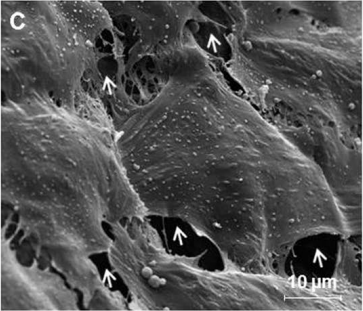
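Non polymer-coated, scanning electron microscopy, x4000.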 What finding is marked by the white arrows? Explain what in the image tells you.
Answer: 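The arrows point into dark holes in the surface layer. The holes lie at the borders between flattened cells. So: gaps between cells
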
